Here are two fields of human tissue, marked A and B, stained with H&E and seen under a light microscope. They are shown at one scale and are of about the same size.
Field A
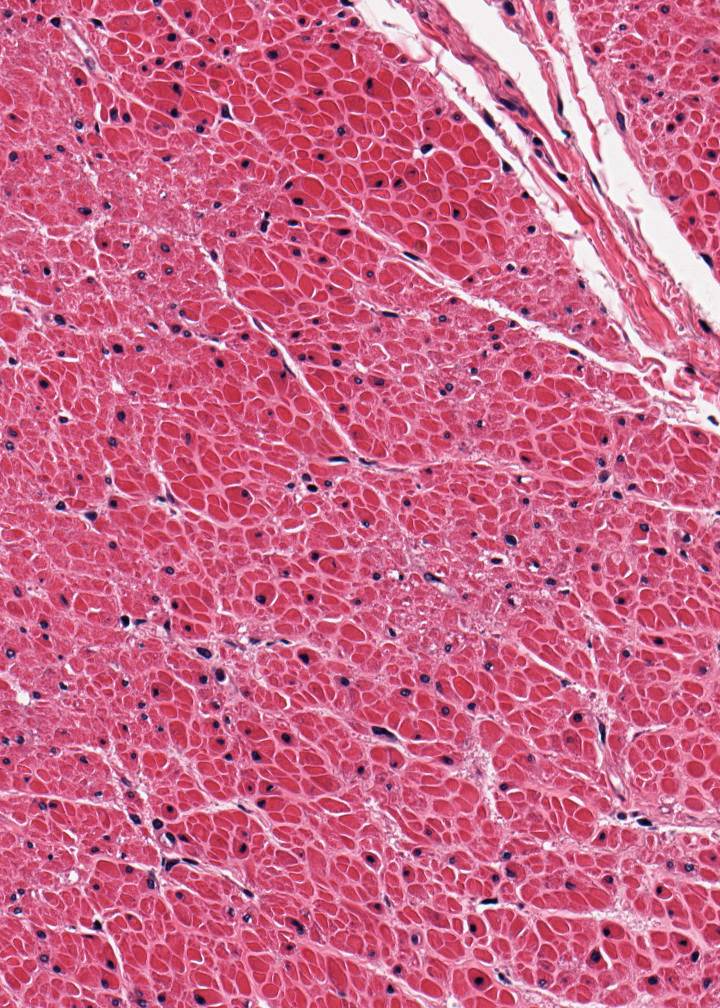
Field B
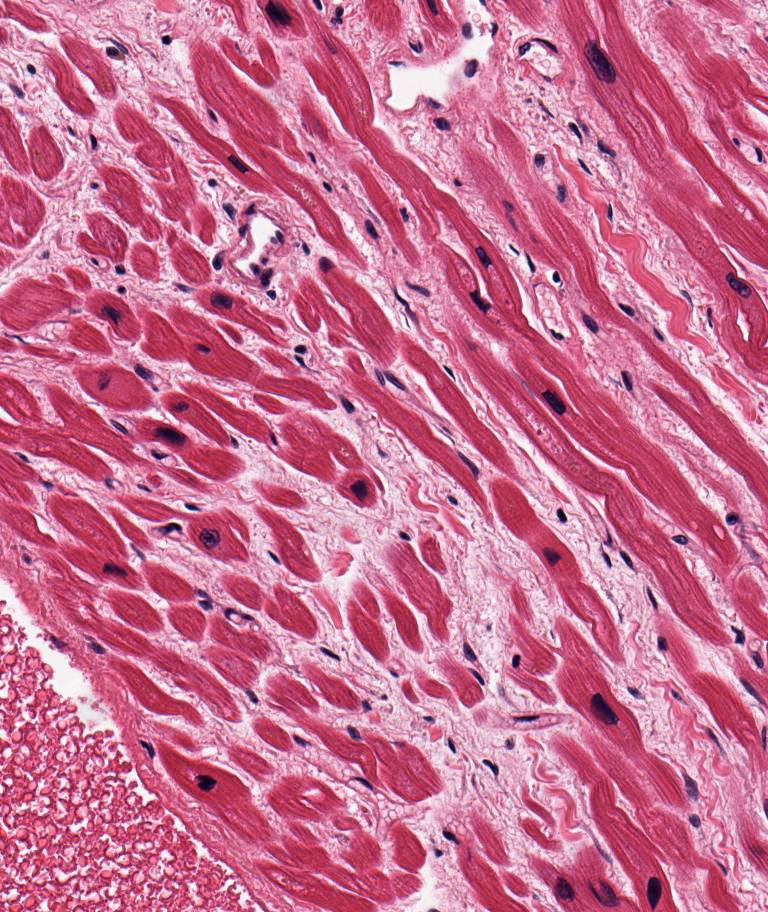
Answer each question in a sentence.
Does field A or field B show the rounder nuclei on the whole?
On the whole the nuclei of field A are rounder than those of field B.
